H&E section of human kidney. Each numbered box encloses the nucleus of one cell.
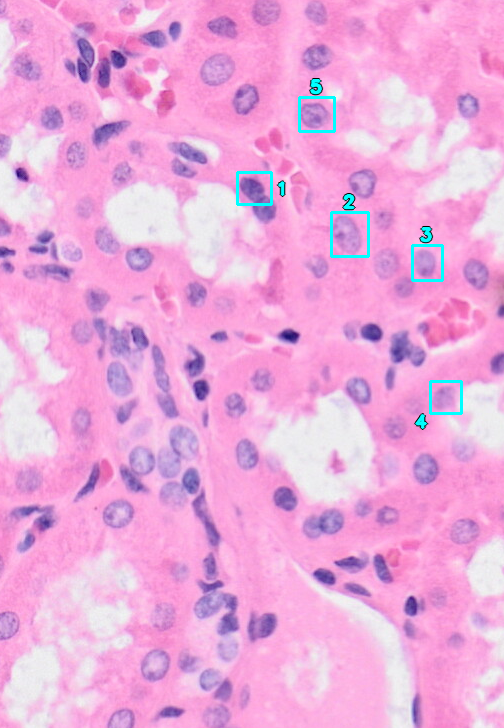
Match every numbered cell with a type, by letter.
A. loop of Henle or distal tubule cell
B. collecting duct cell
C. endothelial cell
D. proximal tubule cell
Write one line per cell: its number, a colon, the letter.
1: A
2: D
3: D
4: A
5: D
